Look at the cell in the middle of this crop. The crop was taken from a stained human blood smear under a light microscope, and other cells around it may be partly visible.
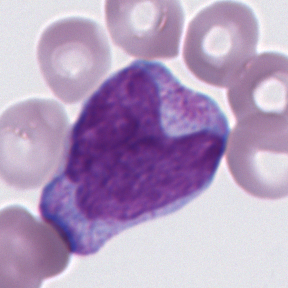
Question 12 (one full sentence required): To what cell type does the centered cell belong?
The central element of this crop is a cell, namely an atypical promyelocyte.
